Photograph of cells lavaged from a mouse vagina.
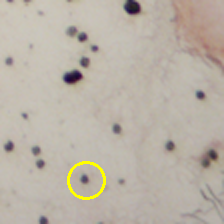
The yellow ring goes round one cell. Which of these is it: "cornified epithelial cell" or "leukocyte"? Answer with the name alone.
leukocyte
